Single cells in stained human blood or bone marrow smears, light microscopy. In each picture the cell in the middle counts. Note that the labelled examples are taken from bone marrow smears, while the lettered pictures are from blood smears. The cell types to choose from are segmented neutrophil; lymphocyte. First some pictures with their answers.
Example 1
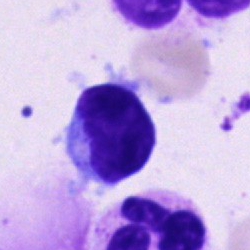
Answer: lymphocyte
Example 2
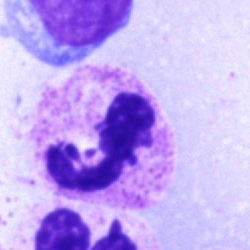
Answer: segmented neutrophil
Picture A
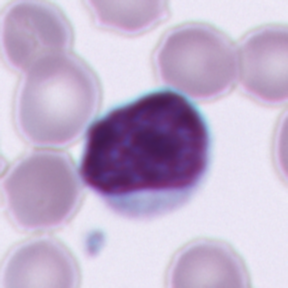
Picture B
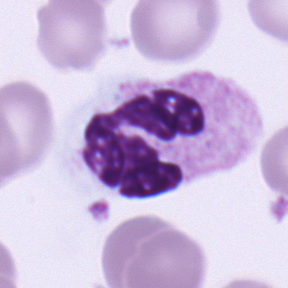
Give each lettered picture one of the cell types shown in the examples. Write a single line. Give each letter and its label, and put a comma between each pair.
A lymphocyte, B segmented neutrophil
